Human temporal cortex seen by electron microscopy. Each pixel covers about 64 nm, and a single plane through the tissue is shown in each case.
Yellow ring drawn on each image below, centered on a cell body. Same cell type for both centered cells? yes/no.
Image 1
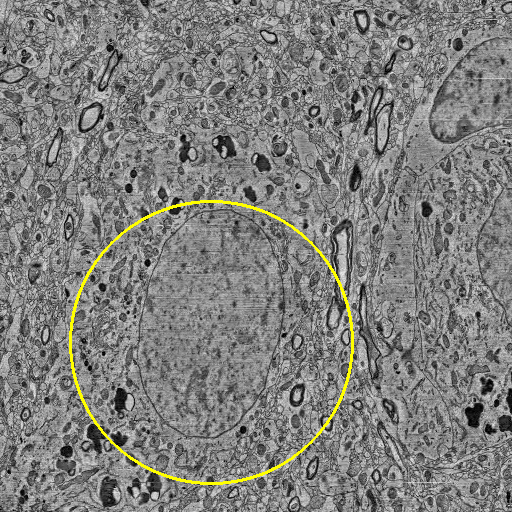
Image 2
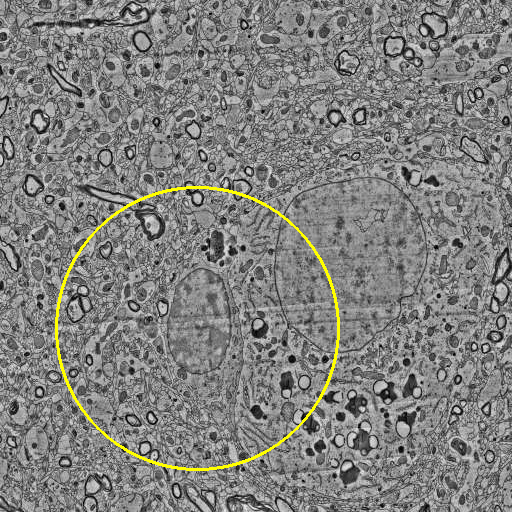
no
